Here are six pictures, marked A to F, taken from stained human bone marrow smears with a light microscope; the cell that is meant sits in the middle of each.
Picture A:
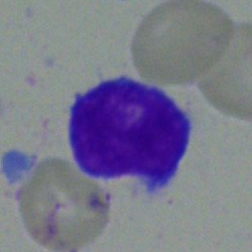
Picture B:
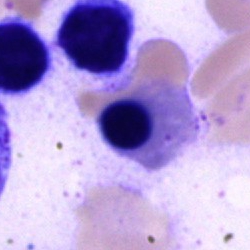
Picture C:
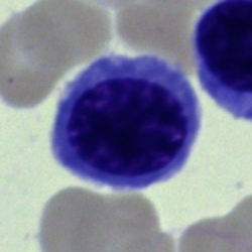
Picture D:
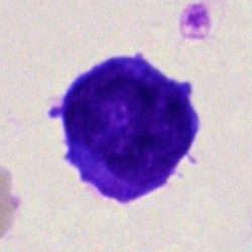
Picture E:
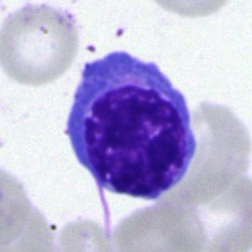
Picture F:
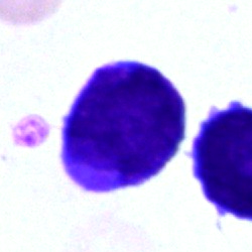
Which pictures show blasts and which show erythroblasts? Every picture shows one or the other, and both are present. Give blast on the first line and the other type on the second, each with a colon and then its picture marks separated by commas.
blast: A, D, F
erythroblast: B, C, E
